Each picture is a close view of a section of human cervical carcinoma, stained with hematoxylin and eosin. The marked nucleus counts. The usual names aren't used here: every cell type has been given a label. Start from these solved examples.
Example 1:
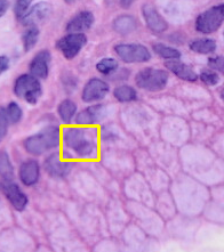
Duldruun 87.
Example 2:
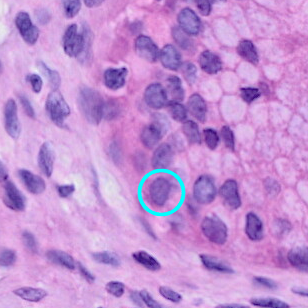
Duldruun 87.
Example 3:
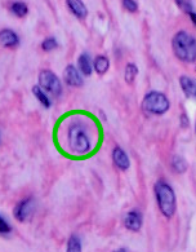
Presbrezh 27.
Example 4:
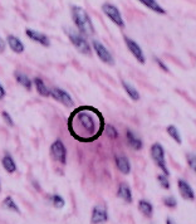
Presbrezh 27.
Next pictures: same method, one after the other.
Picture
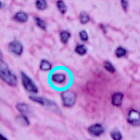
Presbrezh 27.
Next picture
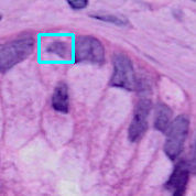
Duldruun 87.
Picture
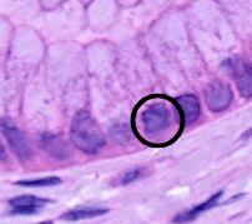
Duldruun 87.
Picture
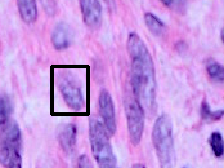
Presbrezh 27.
